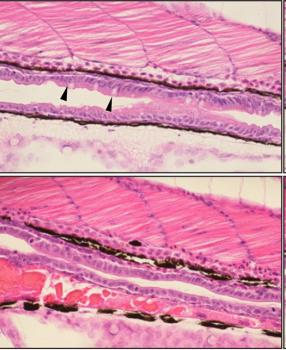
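Above the gut lie bands of pink striated skeletal muscle, and dark black pigment cells line the outer wall of the gut. In the upper image, a few epithelial cells with paler, rounded cytoplasm are marked by arrowheads; these are goblet cells set among the absorptive cells. The lower image shows a similar tube whose lining shows no such marked pale cells, and its lumen appears narrow.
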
